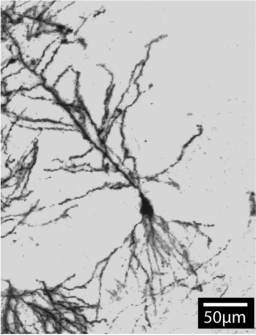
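A single thick dendrite leaves the apex of the cell body and branches repeatedly as it extends upward. From the base, many thinner dendrites radiate downward in a skirt-like spray. Other impregnated processes from neighbouring cells cross the edges of the field.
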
